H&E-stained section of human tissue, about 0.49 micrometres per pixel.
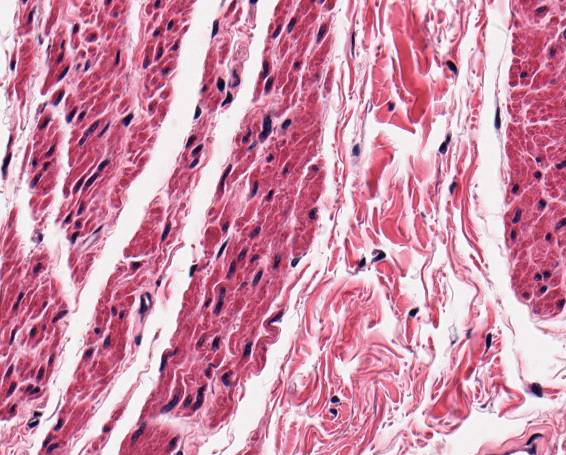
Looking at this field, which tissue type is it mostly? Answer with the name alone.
smooth muscle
